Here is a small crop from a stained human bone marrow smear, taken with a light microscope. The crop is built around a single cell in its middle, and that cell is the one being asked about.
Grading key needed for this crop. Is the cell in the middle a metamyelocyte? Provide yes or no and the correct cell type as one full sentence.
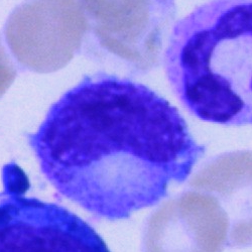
Yes, the cell at the middle is a metamyelocyte.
